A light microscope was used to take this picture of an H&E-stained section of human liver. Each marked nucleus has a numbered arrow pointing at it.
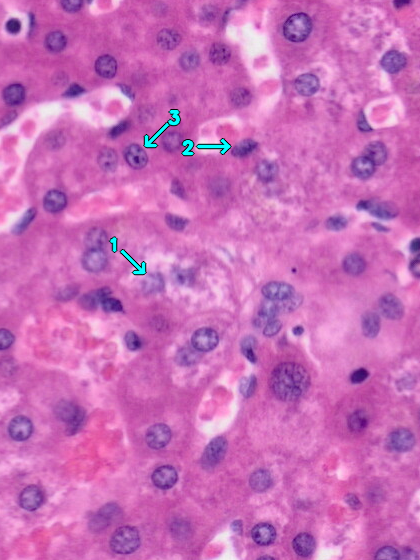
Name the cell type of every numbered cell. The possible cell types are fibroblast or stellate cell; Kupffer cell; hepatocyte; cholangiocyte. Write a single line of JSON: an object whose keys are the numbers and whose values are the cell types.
{"1": "hepatocyte", "2": "fibroblast or stellate cell", "3": "hepatocyte"}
